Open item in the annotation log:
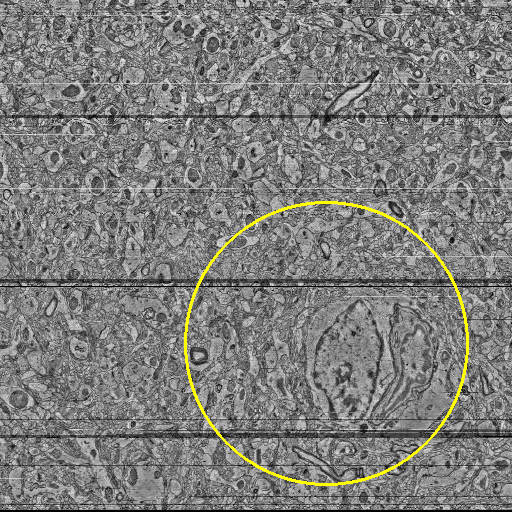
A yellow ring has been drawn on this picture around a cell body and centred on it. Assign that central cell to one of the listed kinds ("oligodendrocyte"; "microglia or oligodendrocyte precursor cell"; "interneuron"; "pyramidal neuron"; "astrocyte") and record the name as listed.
microglia or oligodendrocyte precursor cell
